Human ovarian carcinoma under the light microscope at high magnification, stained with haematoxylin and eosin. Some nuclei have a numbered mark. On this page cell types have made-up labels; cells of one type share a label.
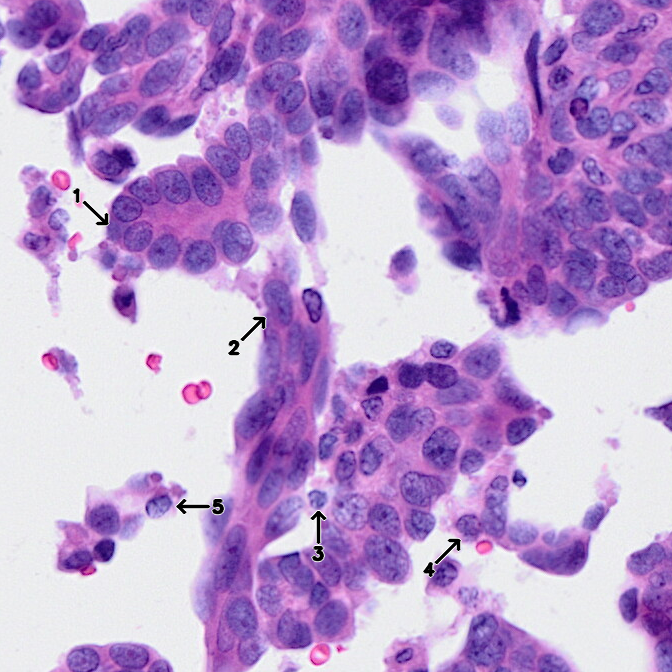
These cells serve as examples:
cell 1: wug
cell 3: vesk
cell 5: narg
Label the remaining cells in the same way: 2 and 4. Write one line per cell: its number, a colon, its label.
2: wug
4: narg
